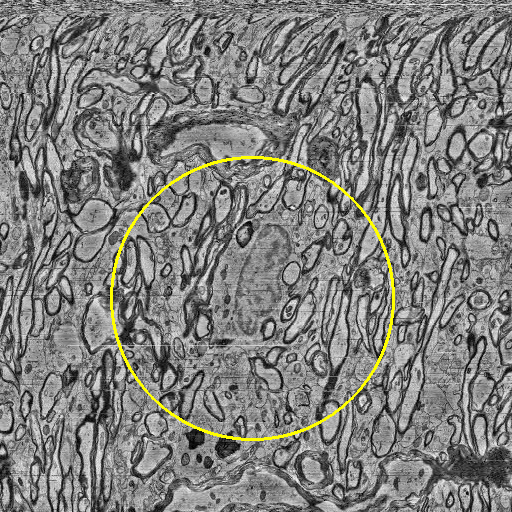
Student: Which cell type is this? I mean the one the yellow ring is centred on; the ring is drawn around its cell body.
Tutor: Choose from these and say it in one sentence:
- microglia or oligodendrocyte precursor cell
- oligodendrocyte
The cell the ring is centred on is an oligodendrocyte.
